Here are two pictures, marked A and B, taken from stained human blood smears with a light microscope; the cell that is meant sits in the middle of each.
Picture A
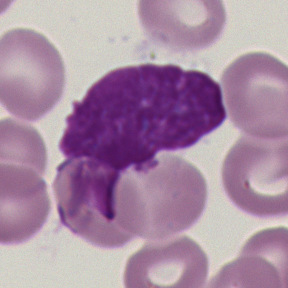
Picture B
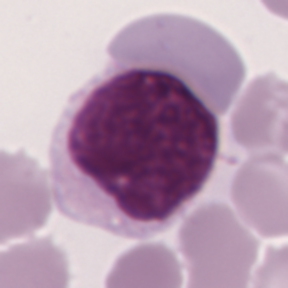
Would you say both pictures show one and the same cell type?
no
